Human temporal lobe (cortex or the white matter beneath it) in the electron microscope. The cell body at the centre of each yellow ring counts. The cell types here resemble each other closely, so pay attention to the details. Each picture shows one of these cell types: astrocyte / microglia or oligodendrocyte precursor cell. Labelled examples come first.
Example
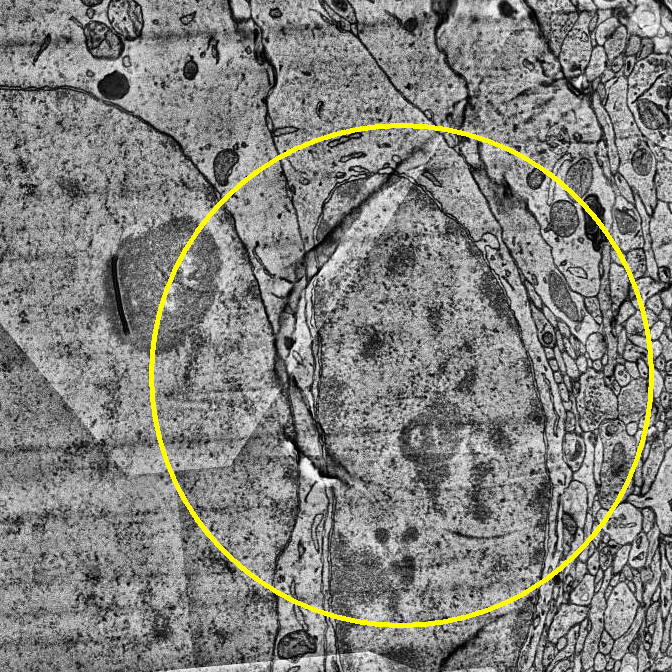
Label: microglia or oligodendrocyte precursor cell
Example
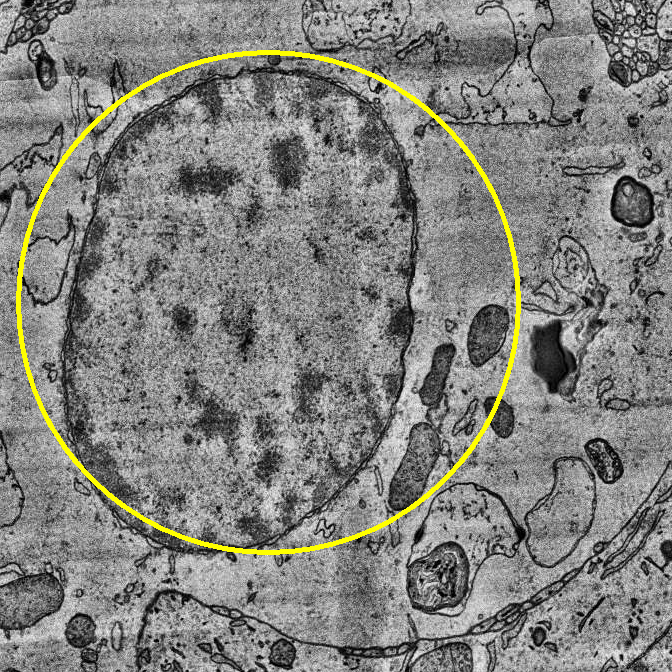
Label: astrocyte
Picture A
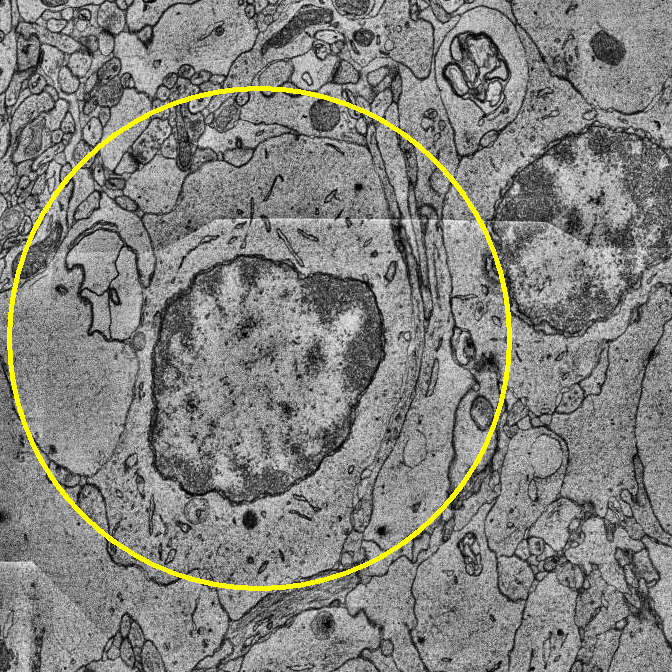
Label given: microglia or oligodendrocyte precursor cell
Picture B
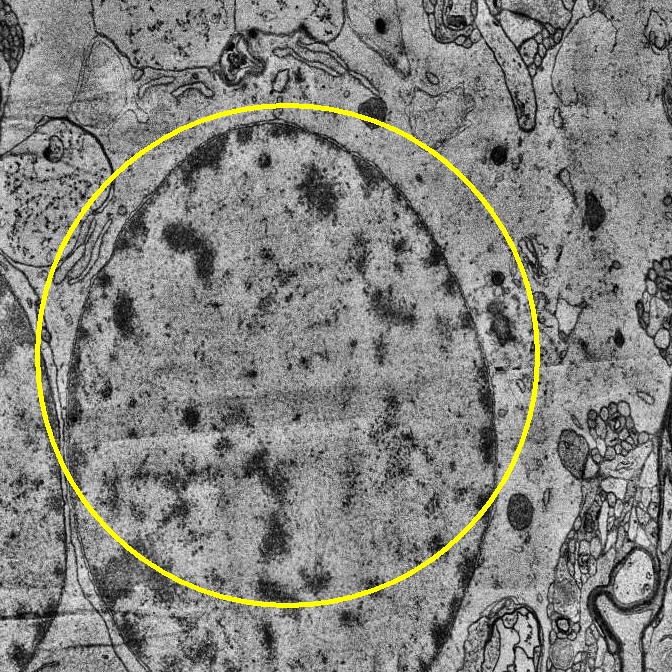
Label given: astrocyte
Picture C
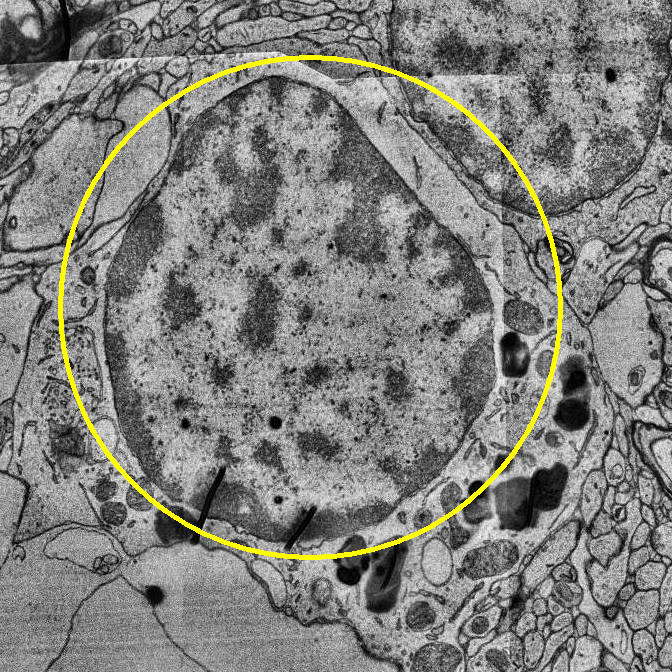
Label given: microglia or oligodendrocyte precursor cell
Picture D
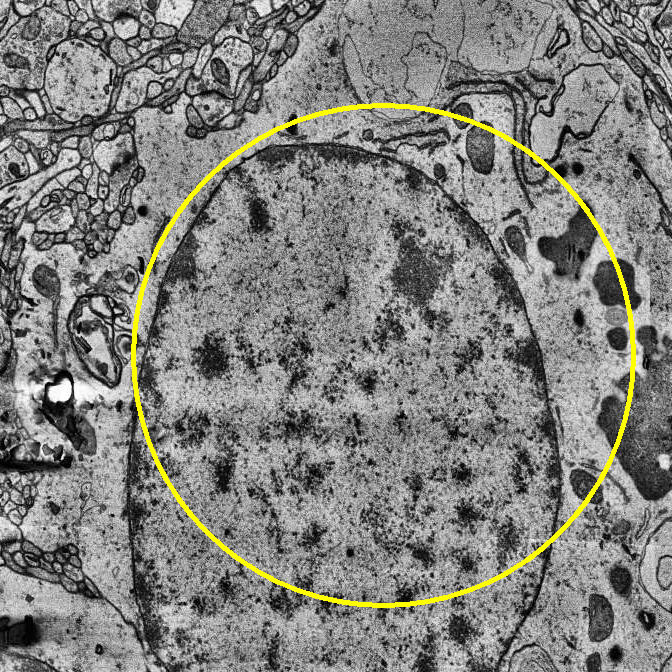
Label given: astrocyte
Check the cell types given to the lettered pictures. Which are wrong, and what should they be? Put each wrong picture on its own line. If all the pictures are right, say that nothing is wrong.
All correct.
